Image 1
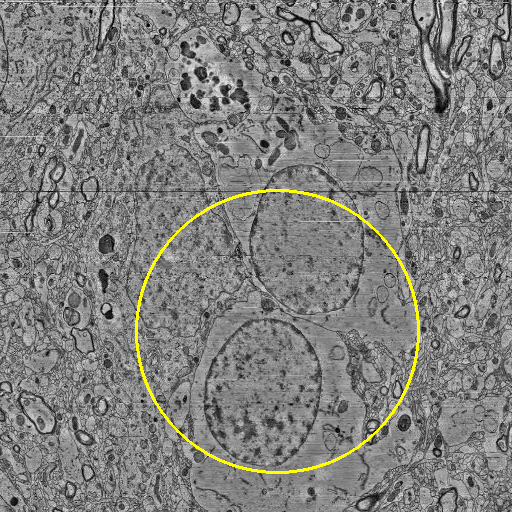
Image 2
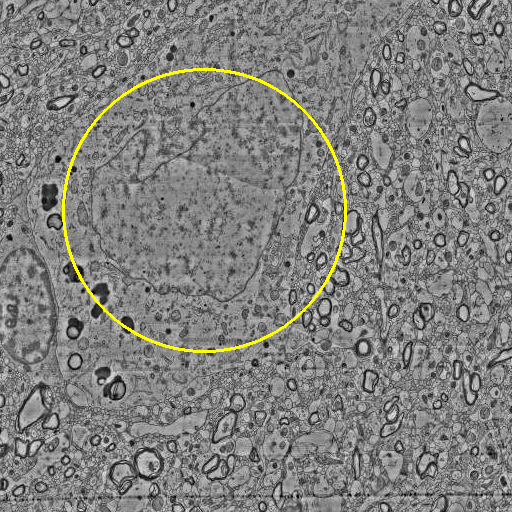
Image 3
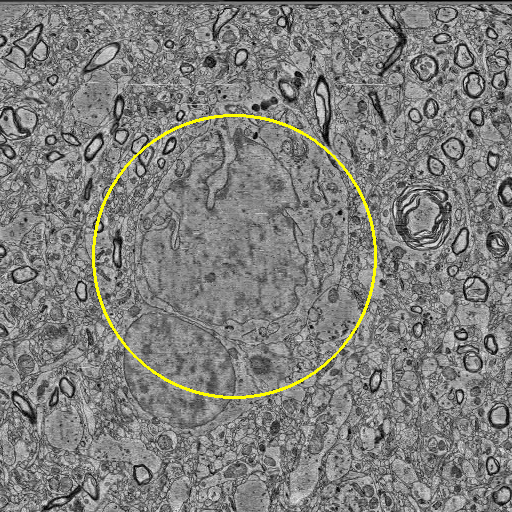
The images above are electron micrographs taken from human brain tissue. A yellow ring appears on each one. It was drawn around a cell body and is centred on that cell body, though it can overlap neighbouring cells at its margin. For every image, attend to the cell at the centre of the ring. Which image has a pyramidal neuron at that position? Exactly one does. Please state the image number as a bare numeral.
2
